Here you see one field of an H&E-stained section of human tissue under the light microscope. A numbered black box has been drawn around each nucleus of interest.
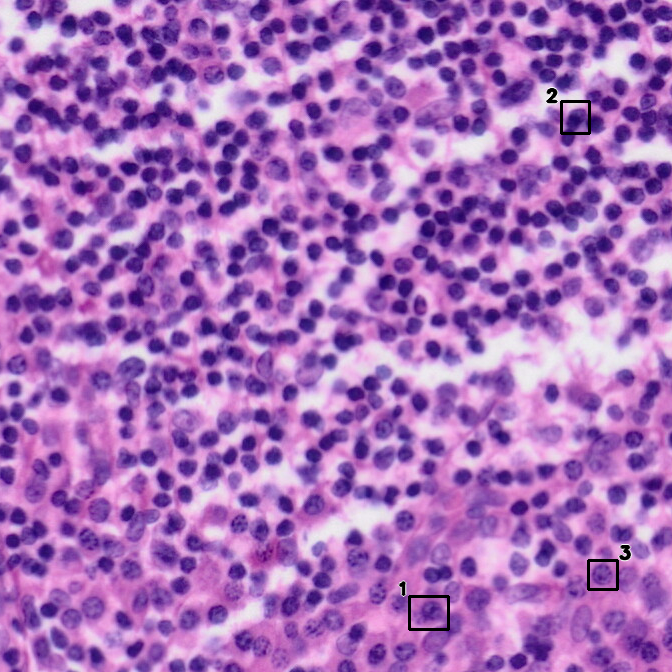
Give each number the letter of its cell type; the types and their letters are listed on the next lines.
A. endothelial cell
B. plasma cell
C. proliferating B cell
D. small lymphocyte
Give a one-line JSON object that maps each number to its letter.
{"1": "B", "2": "D", "3": "B"}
